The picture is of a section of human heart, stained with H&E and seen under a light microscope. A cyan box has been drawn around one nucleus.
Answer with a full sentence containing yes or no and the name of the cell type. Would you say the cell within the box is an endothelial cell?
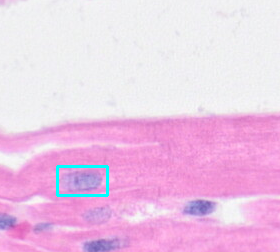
No, the cell within the box qualifies as a cardiomyocyte and does not qualify as an endothelial cell.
